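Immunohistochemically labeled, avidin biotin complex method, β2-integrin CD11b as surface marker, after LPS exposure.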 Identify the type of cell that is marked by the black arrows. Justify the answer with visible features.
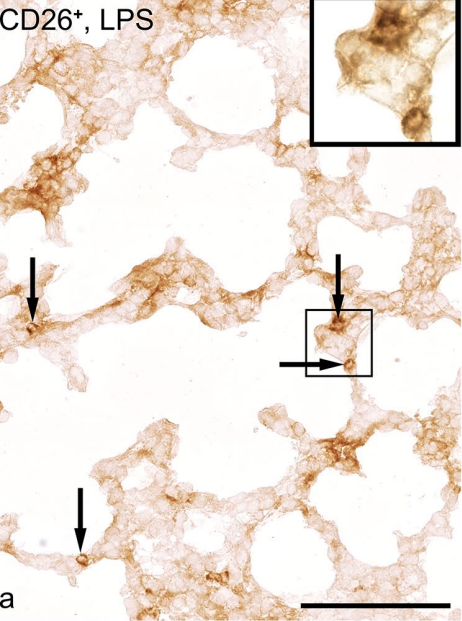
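The arrows point to small, round, darker brown cells within thin septa. These cells are compact and stand out against the paler, diffusely stained septal walls.
Inflammatory cells.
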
